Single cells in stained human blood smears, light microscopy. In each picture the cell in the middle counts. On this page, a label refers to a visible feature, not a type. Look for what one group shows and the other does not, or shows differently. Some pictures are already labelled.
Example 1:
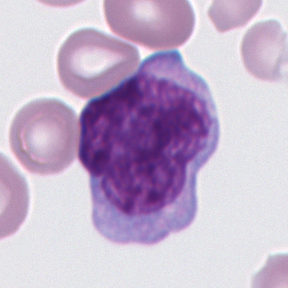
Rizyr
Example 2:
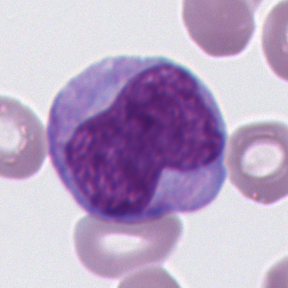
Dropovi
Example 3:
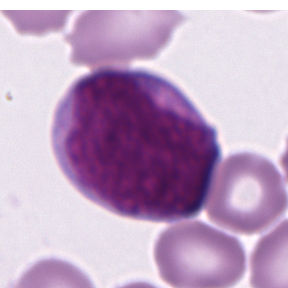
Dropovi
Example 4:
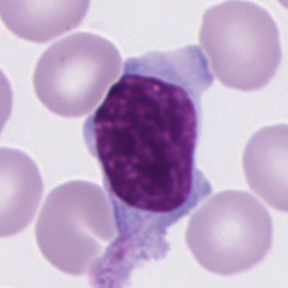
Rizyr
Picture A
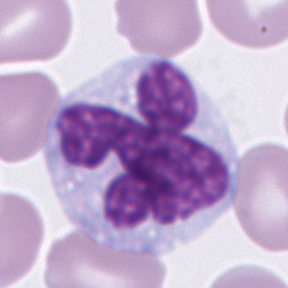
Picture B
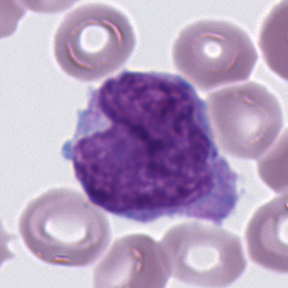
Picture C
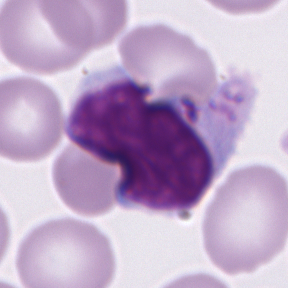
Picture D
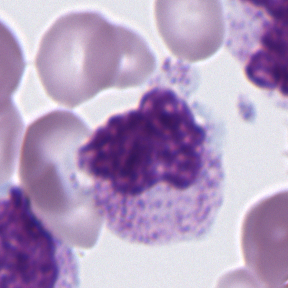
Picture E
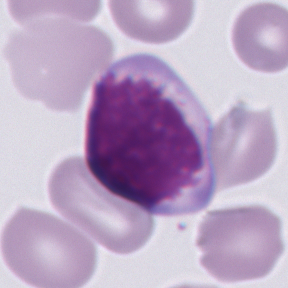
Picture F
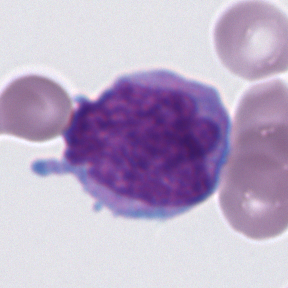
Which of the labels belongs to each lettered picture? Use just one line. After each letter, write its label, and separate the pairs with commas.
A Dropovi, B Rizyr, C Rizyr, D Rizyr, E Dropovi, F Rizyr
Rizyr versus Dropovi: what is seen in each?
Rizyr, ragged outline or projections; Dropovi, smooth outline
